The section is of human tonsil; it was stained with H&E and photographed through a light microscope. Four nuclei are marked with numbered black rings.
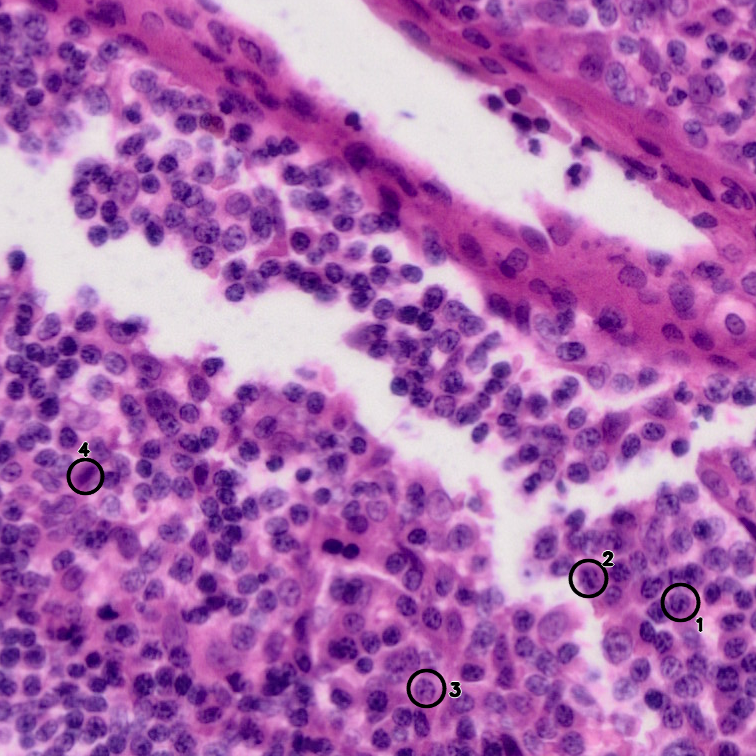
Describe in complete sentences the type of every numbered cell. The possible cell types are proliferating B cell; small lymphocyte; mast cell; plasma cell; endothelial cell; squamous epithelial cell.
Cells 1, 2 and 3 are plasma cells. Cell 4 is a squamous epithelial cell.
